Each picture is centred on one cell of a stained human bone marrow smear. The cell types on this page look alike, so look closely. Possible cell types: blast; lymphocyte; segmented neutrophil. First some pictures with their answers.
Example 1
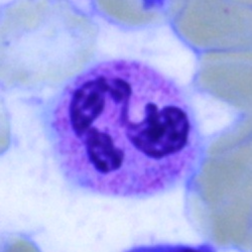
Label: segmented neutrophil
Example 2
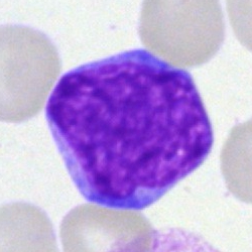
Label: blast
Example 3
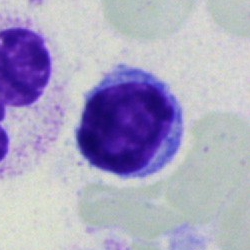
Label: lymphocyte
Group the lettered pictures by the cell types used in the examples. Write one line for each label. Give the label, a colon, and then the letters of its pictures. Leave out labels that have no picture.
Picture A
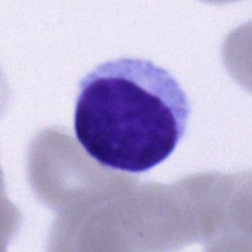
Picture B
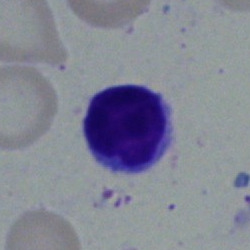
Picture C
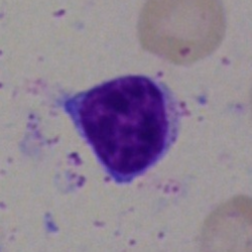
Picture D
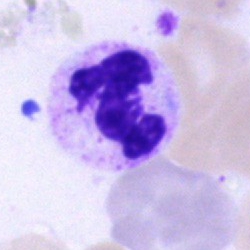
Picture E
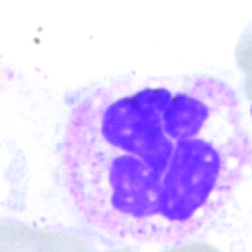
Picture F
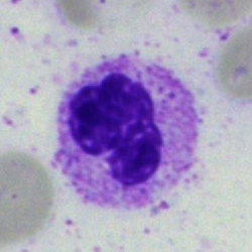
lymphocyte: A, B, C
segmented neutrophil: D, E, F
